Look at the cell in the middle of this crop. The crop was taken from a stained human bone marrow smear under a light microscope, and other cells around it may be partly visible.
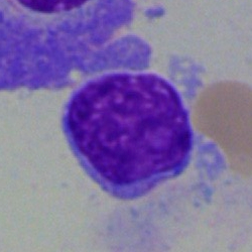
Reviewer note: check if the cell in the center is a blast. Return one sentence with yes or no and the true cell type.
No, the centre of the crop is taken up by a lymphocyte, not a blast.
